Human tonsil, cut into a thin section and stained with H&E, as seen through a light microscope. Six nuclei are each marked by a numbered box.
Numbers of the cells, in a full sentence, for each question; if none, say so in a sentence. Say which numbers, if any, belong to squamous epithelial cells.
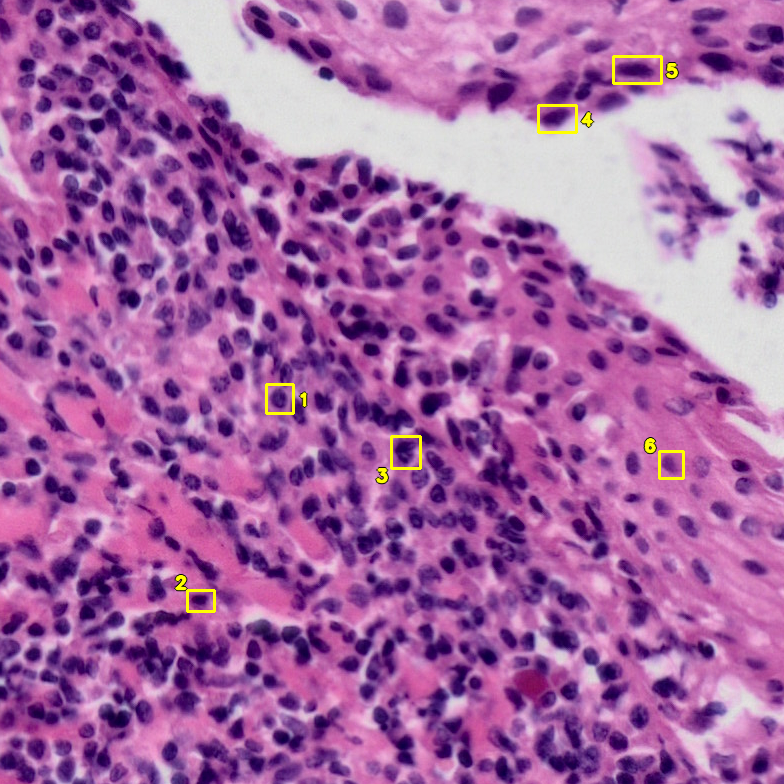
The cells numbered 4, 5 and 6 are of the kind known as squamous epithelial cells.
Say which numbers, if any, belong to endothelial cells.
Of all the numbered cells, only cell 2 is an endothelial cell.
